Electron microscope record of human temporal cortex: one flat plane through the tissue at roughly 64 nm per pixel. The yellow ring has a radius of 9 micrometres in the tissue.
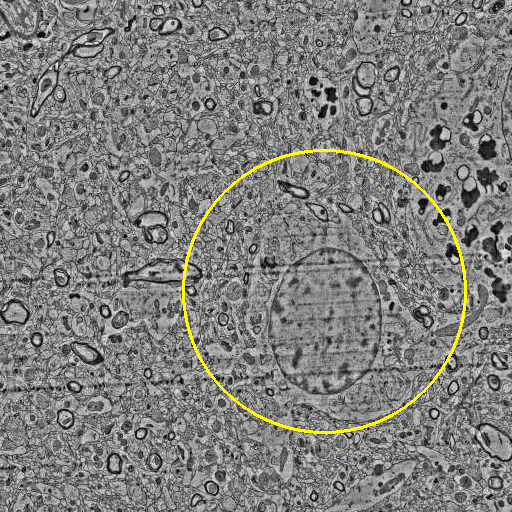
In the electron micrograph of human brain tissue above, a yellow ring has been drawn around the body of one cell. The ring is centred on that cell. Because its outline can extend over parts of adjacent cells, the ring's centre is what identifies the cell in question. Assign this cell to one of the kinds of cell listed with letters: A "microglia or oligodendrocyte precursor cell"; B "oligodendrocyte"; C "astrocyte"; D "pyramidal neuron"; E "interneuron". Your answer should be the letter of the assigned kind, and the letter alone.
C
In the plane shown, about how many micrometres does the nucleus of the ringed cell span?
In this plane, the nucleus is roughly 9 by 7 micrometres.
